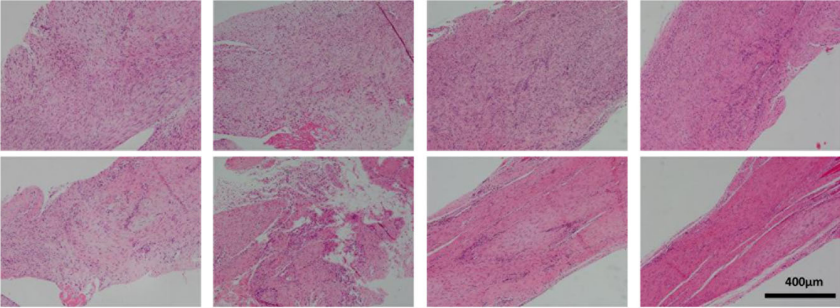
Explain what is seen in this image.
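The fields are not all alike. In some, the pink fibres are packed densely and run in parallel, and the nuclei are slender and lined up along them. In others, the fibres are loose, wavy and disordered, and the nuclei are more crowded and scattered without a clear direction. At this magnification single cells are seen only as their nuclei, so what you judge here is the architecture of the tissue: how tightly and how orderly the fibres lie.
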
